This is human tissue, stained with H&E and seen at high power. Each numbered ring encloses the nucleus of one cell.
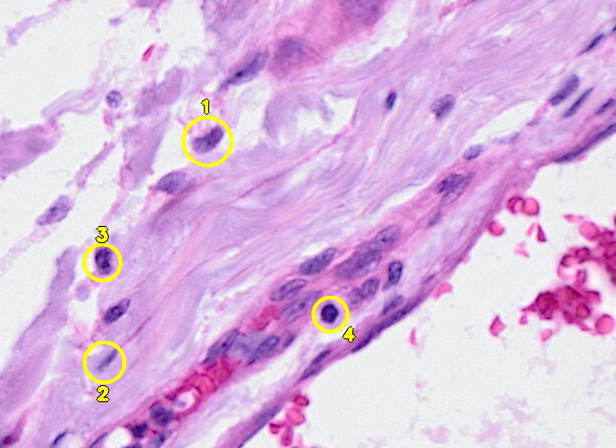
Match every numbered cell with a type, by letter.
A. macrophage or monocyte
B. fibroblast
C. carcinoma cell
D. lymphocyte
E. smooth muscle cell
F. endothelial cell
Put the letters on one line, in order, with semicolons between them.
A; B; A; D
